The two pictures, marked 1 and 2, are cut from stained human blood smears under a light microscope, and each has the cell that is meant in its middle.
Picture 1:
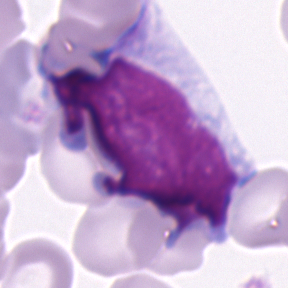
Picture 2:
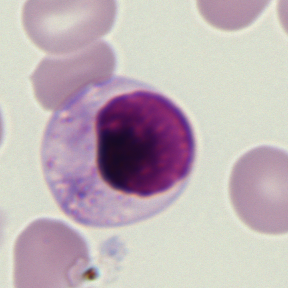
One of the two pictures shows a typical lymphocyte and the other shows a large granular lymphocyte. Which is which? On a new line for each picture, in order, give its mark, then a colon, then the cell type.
1: typical lymphocyte
2: large granular lymphocyte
